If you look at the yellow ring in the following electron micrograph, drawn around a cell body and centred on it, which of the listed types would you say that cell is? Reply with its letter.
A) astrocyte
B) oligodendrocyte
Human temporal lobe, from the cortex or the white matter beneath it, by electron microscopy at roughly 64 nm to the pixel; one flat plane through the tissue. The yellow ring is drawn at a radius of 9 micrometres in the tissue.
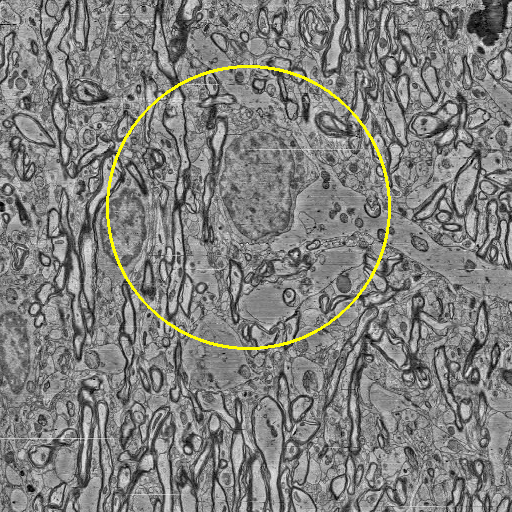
B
